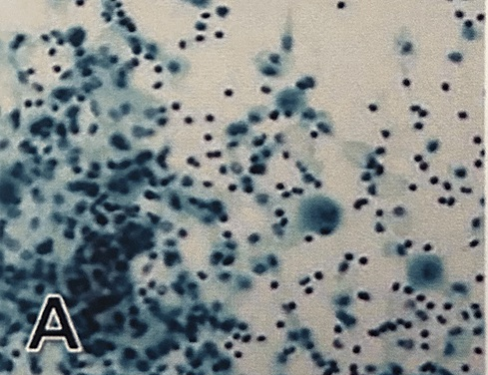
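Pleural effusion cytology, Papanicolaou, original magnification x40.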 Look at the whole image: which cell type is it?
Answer: Inflammatory cells.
